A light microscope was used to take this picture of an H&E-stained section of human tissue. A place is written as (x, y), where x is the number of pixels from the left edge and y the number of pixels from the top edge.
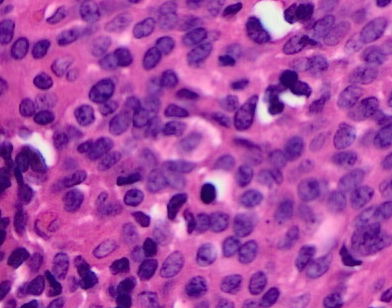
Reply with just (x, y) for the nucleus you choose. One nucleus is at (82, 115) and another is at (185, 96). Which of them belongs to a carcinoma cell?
(185, 96)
